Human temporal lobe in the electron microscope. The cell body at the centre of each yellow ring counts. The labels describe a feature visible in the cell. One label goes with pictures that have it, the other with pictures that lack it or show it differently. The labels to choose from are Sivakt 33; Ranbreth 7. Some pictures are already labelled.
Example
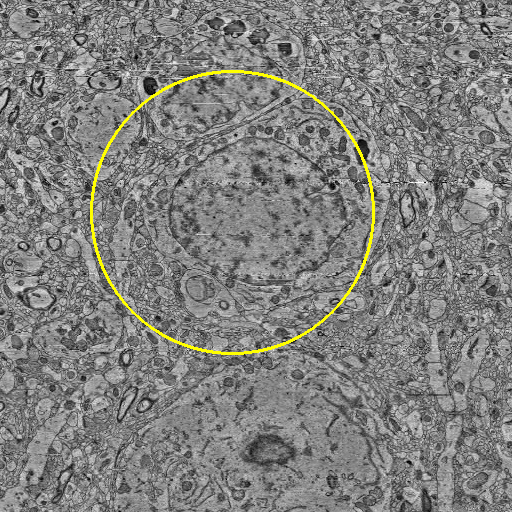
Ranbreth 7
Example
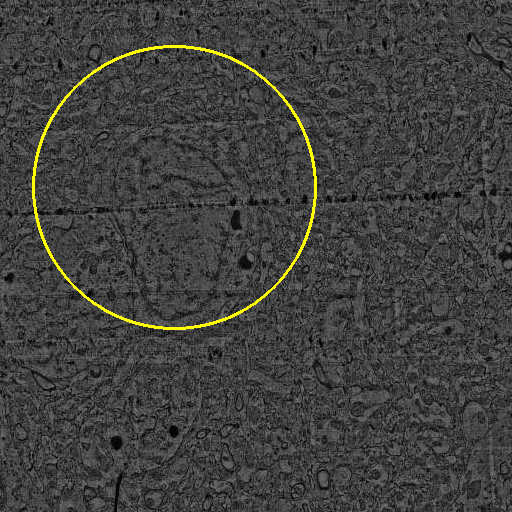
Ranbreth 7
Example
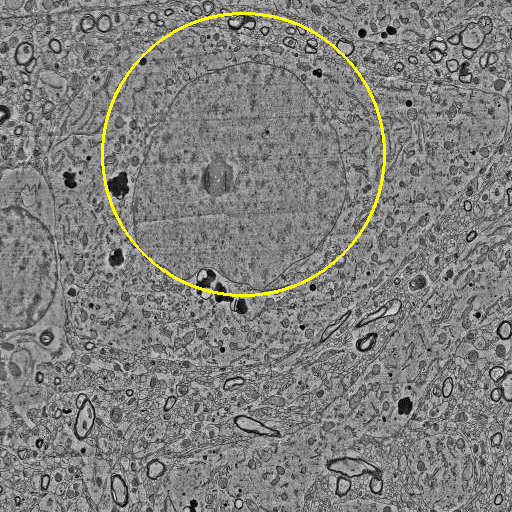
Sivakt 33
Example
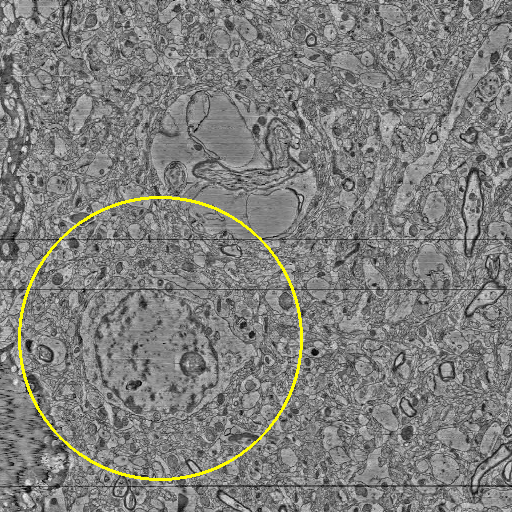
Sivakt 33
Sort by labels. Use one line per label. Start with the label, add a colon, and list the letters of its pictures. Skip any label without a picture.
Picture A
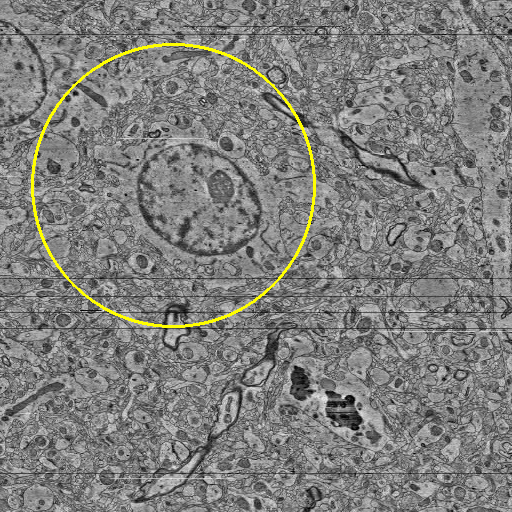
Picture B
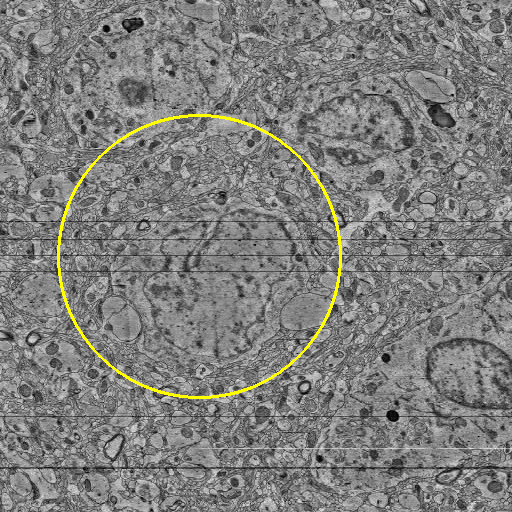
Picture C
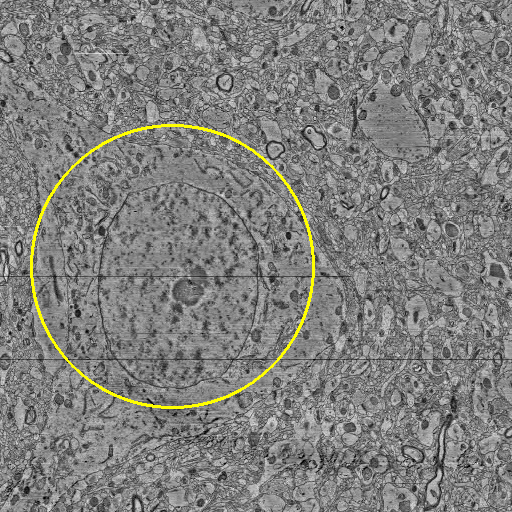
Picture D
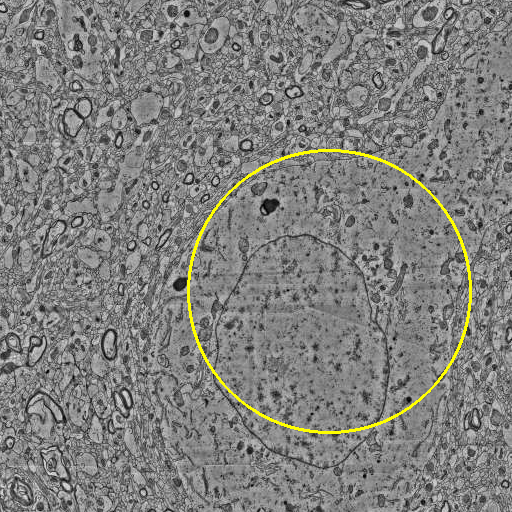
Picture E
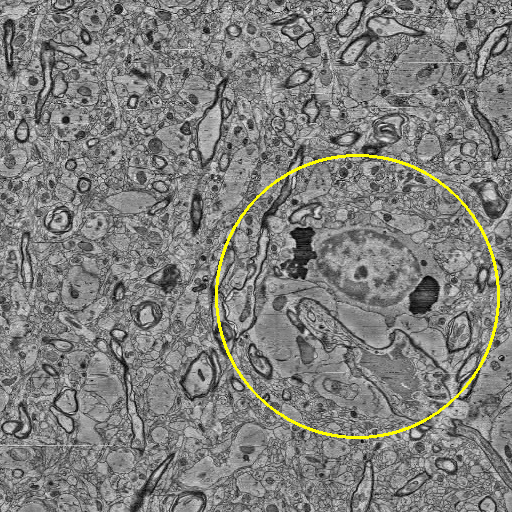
Sivakt 33: A, C, E
Ranbreth 7: B, D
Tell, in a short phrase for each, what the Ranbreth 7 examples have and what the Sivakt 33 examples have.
Ranbreth 7, no nucleolus seen; Sivakt 33, nucleolus seen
